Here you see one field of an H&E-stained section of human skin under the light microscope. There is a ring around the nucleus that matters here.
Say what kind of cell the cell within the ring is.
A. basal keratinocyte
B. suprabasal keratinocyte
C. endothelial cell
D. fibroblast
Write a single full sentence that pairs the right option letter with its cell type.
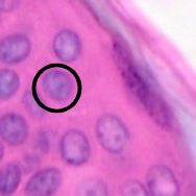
The item is answered by option B: the cell within the ring is a suprabasal keratinocyte.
